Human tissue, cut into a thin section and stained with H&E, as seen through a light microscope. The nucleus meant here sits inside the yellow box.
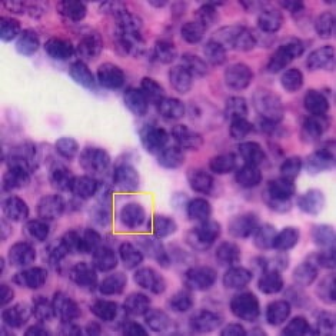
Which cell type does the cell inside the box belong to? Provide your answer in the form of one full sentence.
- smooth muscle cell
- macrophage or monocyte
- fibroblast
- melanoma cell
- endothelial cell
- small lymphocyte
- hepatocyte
For cell typing purposes, the cell inside the box is a small lymphocyte.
